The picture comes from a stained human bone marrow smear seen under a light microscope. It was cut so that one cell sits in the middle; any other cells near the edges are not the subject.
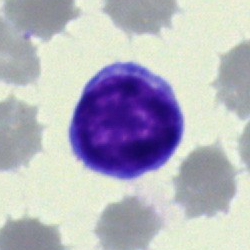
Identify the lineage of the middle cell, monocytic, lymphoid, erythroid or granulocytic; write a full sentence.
The cell in the middle belongs to the lymphoid lineage.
